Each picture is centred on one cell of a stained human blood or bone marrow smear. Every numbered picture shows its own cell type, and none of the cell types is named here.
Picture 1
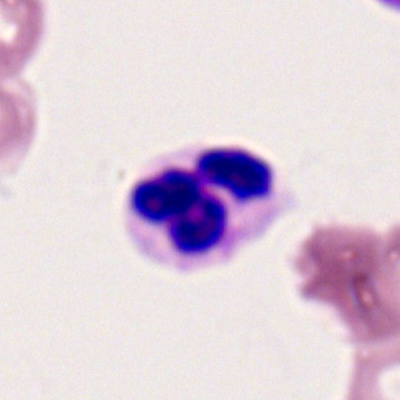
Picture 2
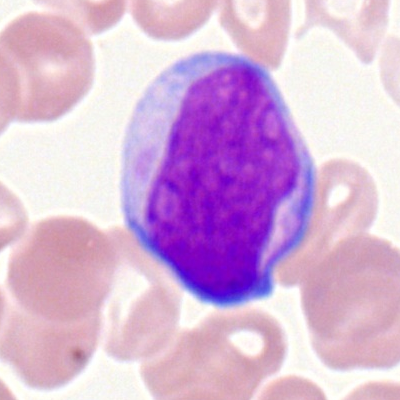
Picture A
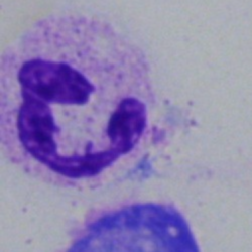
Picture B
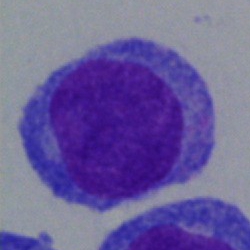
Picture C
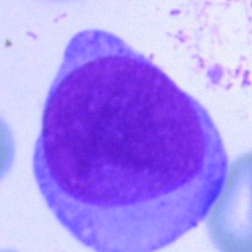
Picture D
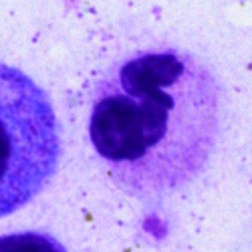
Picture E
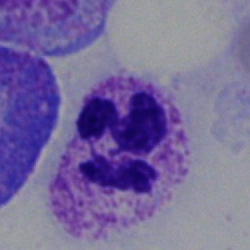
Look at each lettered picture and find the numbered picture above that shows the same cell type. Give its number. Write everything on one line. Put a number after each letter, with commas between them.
A 1, B 2, C 2, D 1, E 1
